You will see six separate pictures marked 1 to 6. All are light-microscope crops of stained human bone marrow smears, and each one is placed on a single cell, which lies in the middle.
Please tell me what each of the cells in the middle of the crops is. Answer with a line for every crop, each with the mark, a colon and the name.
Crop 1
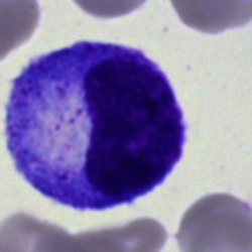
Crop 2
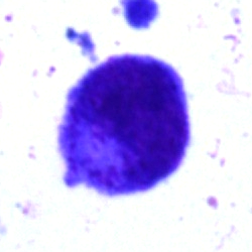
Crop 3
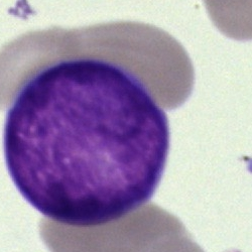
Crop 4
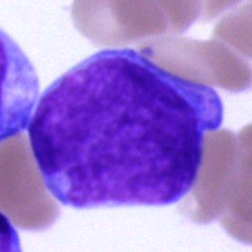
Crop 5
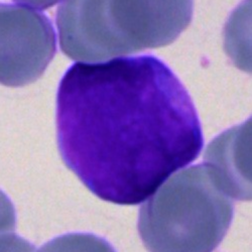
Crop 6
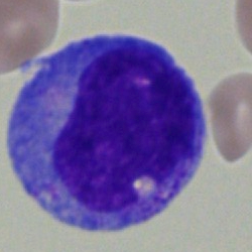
1: promyelocyte
2: promyelocyte
3: blast
4: blast
5: blast
6: promyelocyte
